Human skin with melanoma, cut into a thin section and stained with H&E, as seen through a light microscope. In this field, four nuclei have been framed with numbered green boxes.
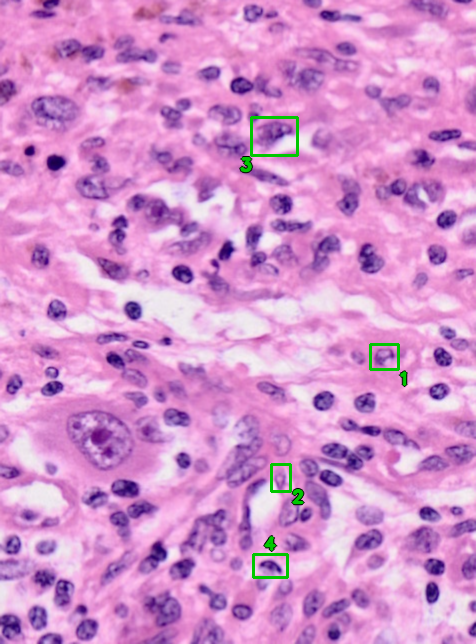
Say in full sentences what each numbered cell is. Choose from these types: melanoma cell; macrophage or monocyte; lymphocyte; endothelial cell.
Cell 1 is an endothelial cell, cell 2 is an endothelial cell, cell 3 is a melanoma cell and cell 4 is a lymphocyte.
